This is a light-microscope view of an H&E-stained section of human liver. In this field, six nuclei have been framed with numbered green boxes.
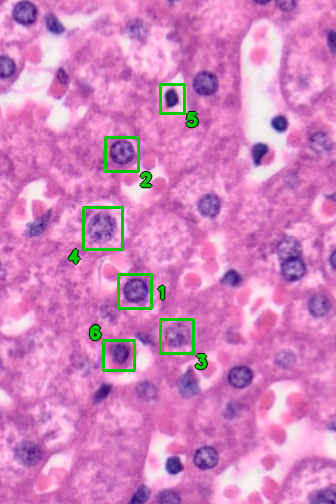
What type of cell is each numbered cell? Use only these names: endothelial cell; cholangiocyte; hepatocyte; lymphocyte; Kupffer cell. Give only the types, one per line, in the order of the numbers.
hepatocyte
hepatocyte
hepatocyte
hepatocyte
lymphocyte
Kupffer cell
